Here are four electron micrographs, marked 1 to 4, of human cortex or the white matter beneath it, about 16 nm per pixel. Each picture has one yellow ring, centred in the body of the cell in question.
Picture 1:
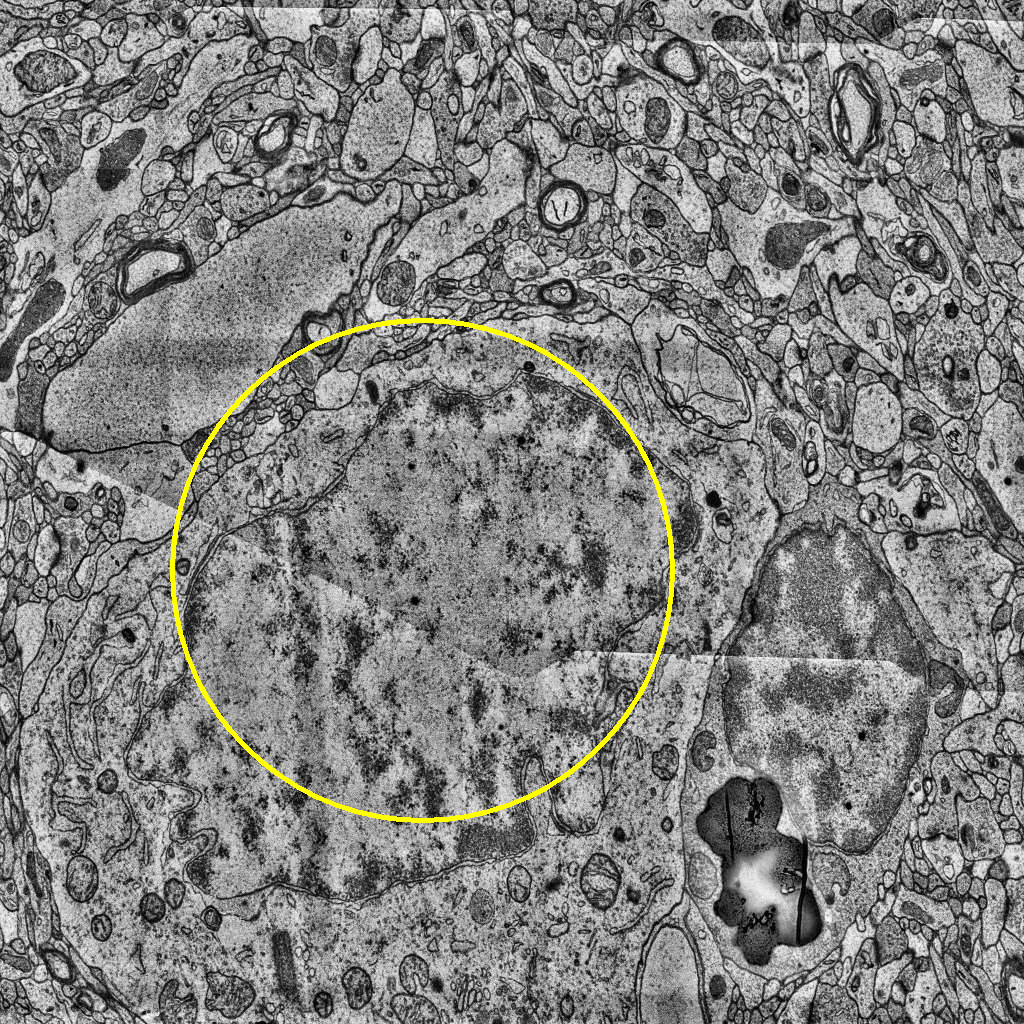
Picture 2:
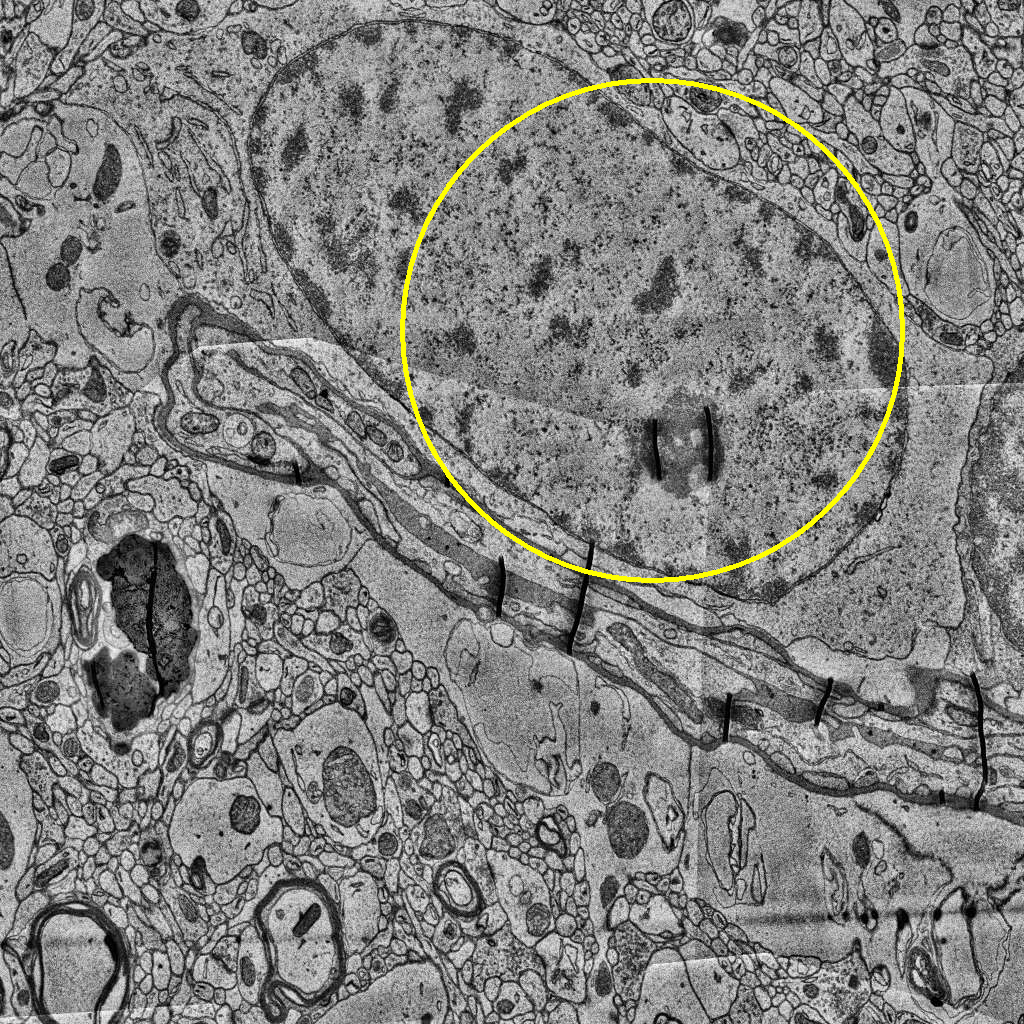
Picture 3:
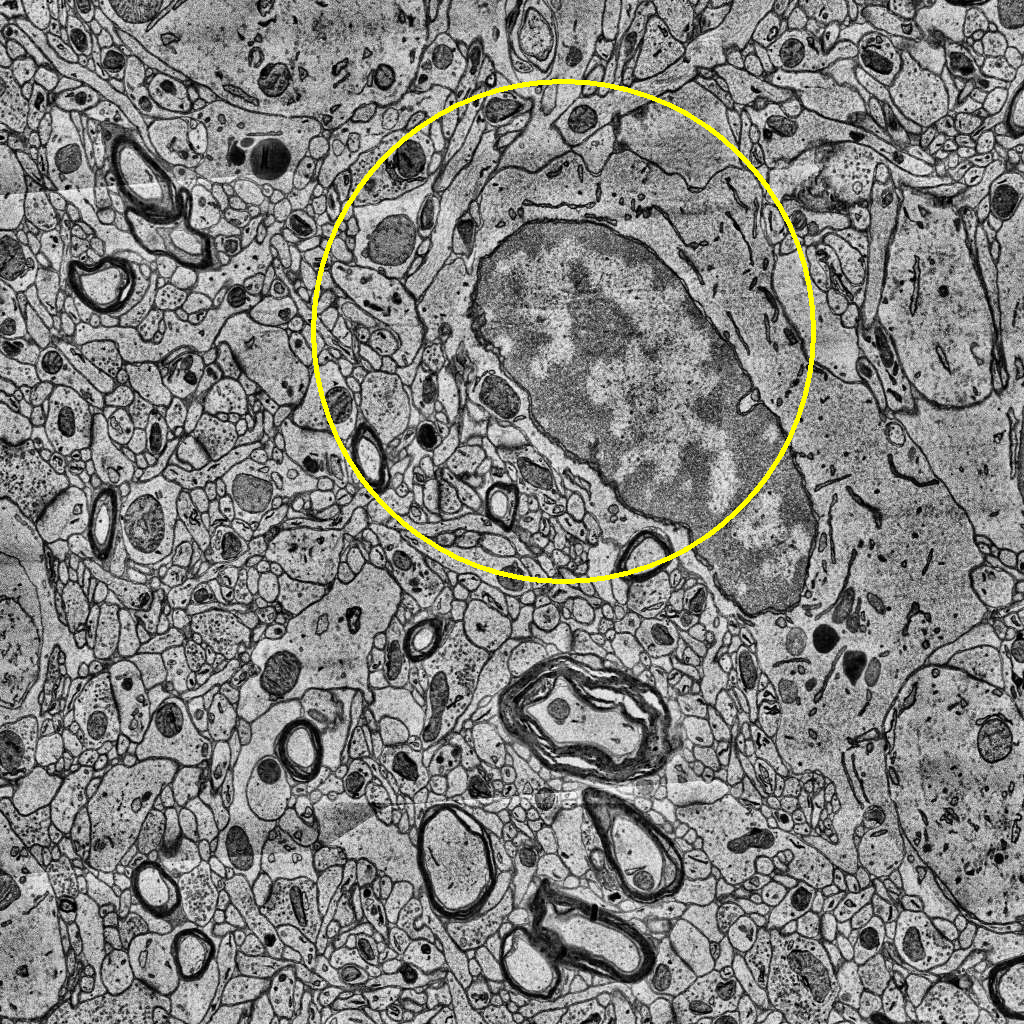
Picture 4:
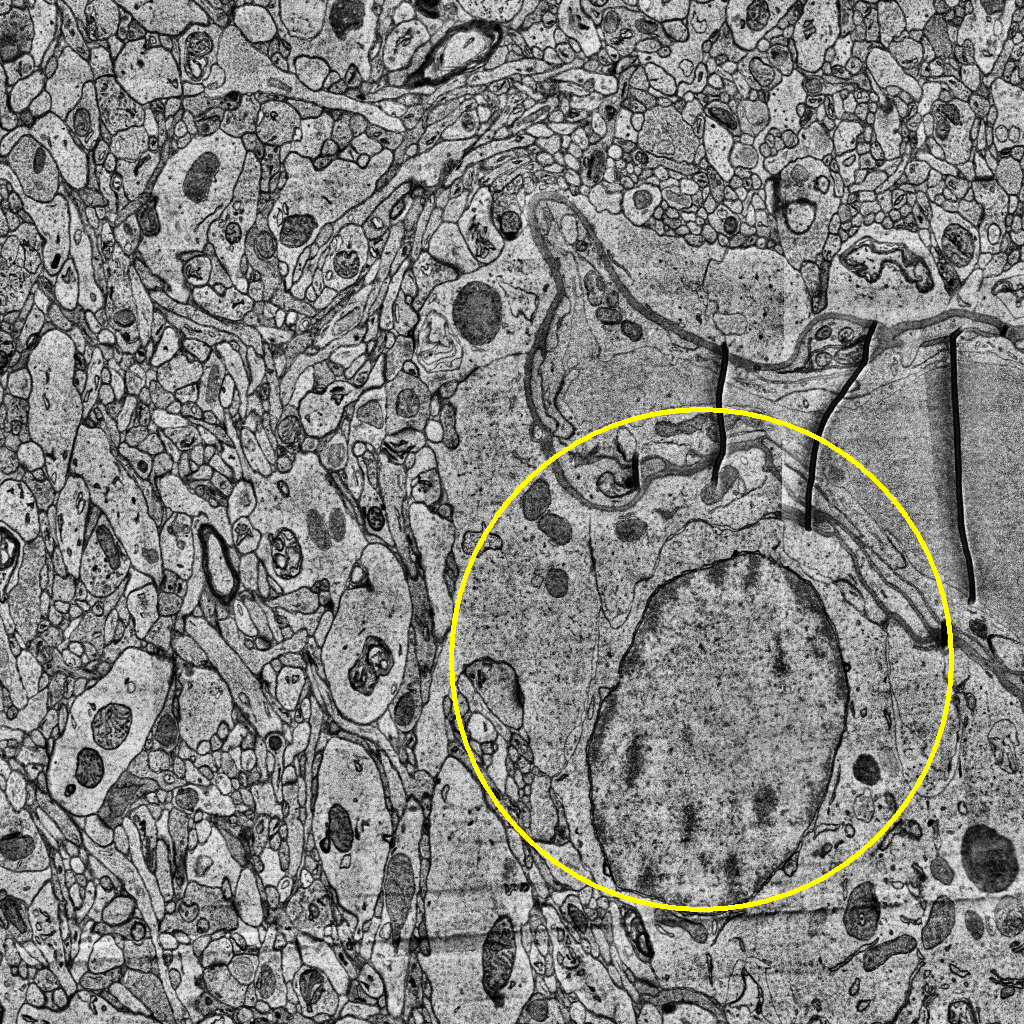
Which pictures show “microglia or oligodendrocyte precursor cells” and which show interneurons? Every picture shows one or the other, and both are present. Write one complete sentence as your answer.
Pictures 2, 3 and 4 show “microglia or oligodendrocyte precursor cells”, and picture 1 shows an interneuron.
